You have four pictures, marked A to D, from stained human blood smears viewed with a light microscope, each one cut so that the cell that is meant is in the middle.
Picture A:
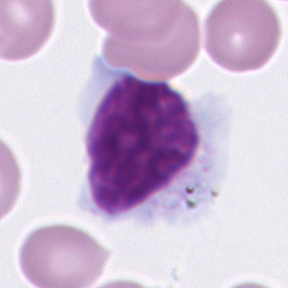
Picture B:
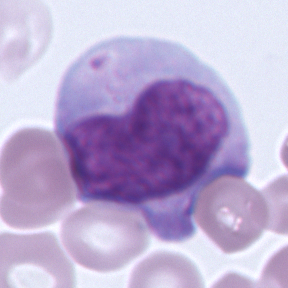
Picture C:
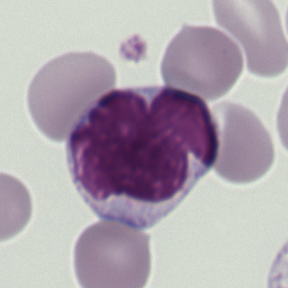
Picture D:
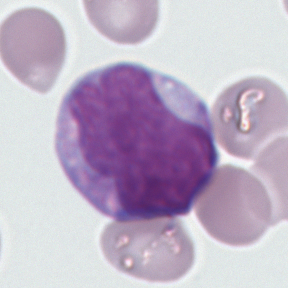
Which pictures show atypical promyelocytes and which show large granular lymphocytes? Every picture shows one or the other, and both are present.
A: large granular lymphocyte
B: atypical promyelocyte
C: large granular lymphocyte
D: atypical promyelocyte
